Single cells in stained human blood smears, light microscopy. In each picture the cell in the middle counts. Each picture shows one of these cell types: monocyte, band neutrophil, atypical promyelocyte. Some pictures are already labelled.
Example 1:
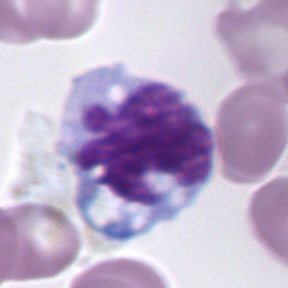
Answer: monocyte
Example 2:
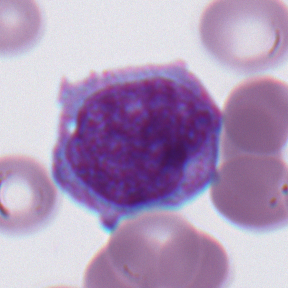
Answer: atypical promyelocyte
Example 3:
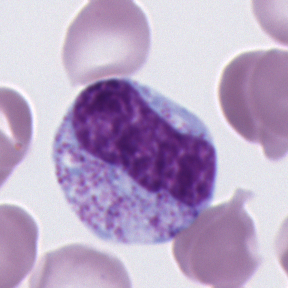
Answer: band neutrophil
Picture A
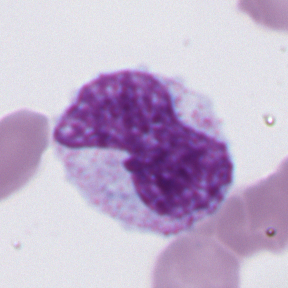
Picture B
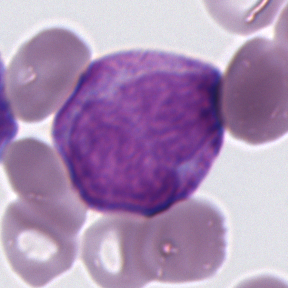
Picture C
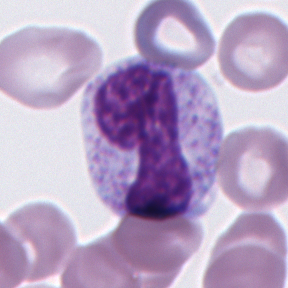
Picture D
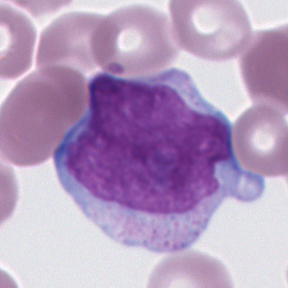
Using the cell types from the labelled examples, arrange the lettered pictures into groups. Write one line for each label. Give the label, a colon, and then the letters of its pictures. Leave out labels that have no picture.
band neutrophil: A, C
atypical promyelocyte: B, D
